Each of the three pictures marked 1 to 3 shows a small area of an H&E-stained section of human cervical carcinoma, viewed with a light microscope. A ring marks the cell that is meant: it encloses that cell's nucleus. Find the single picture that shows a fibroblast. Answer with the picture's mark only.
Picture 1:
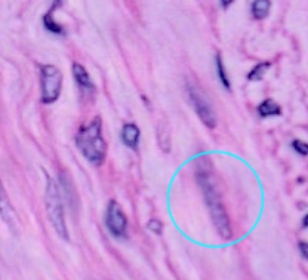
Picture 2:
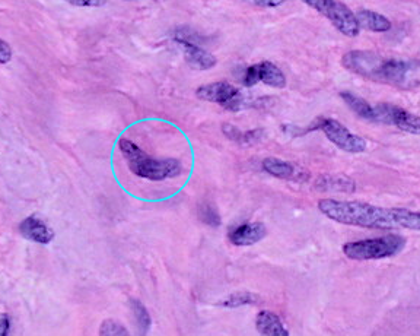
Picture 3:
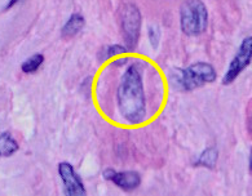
2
